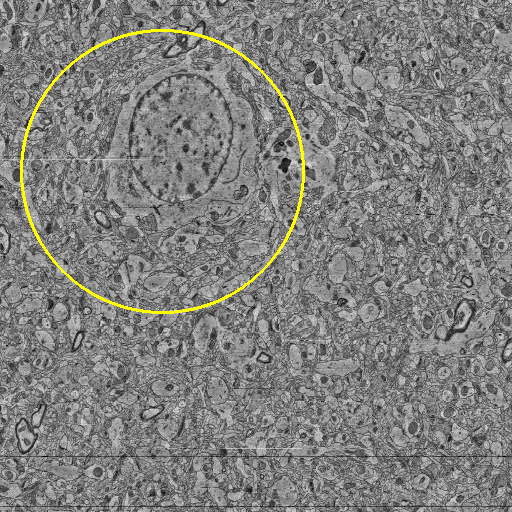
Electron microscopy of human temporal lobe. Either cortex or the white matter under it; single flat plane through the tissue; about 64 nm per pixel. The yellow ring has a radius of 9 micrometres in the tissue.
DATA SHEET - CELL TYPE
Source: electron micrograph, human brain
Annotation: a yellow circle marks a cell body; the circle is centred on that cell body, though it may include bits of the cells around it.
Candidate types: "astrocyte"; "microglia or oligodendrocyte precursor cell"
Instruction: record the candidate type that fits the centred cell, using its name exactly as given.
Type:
astrocyte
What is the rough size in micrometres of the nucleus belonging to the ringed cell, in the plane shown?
About 9 by 7 micrometers for the nucleus, in this plane.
